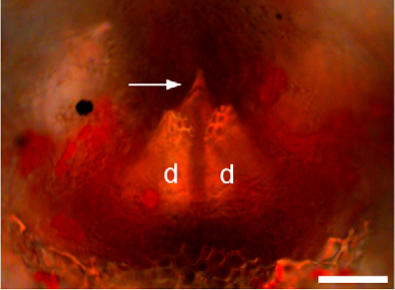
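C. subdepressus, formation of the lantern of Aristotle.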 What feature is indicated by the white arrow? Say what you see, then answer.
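A slender pointed structure rises between the two triangular plates. Its tip tapers to a narrow point. So: narrow tips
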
